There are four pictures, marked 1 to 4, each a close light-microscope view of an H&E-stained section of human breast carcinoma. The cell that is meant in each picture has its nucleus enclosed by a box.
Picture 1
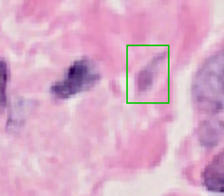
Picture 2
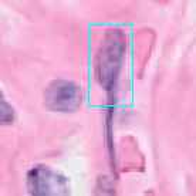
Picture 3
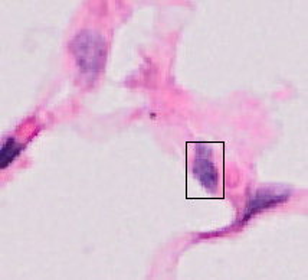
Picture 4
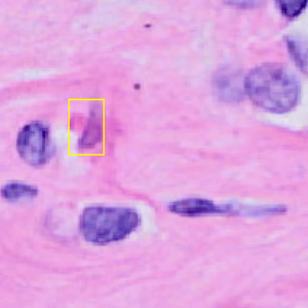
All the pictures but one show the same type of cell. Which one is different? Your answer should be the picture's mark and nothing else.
1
